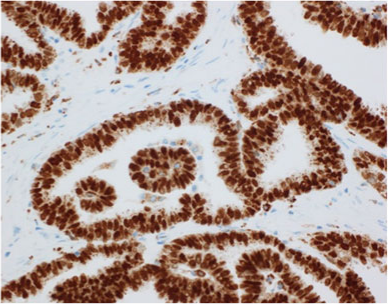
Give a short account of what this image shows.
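Glandular and papillary profiles of tumor epithelium sit in a pale fibrous stroma. The columnar lining cells have crowded oval nuclei that are stained dark brown, while the stromal cell nuclei between the glands remain blue. The brown stain lies in the nuclei of the tumor cells lining the papillary structures.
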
